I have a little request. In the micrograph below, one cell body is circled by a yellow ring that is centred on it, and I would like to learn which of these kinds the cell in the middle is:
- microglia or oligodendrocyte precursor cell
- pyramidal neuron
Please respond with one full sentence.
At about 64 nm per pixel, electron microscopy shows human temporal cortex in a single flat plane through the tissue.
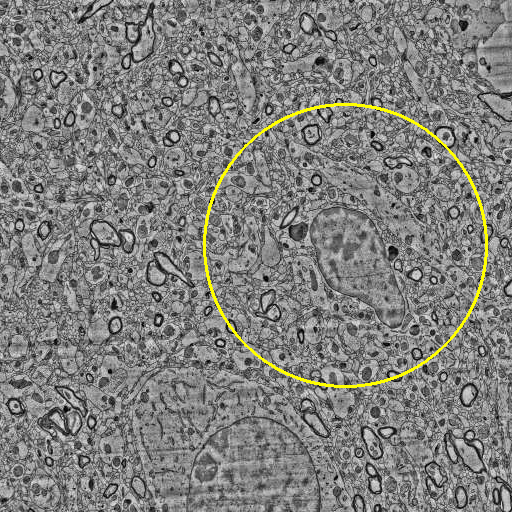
The cell sitting in the middle of the yellow ring in the micrograph is a microglial cell or oligodendrocyte precursor cell.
